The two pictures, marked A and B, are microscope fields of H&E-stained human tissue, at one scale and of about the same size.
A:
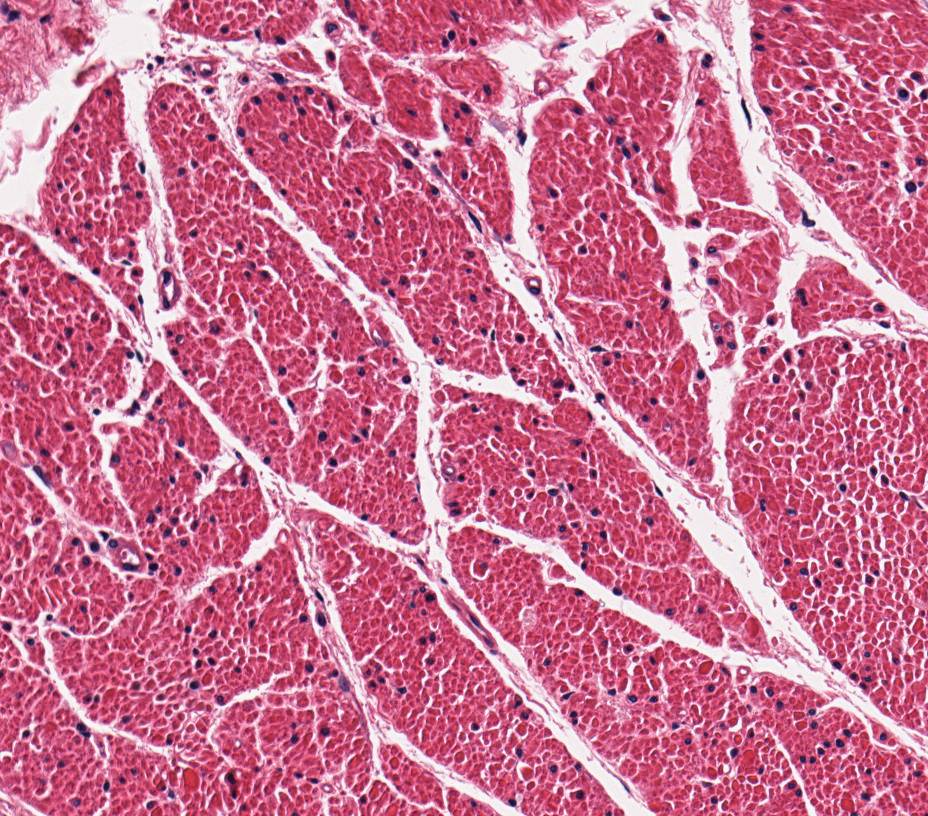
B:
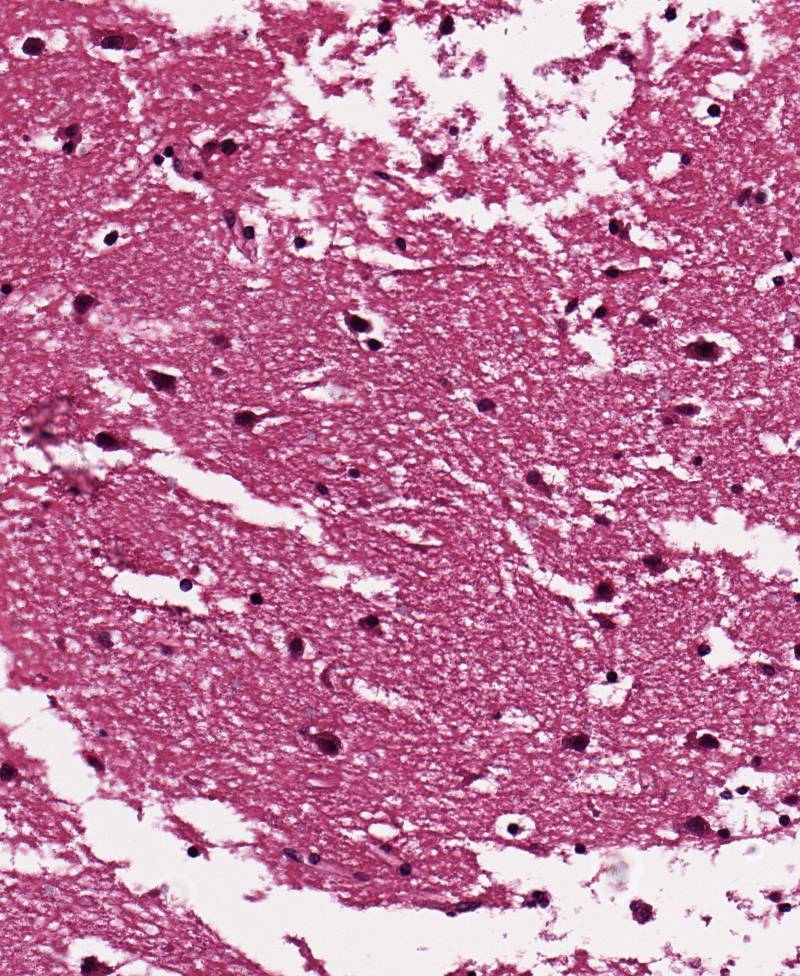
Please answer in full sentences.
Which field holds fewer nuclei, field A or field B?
It is field B that has fewer nuclei in it.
